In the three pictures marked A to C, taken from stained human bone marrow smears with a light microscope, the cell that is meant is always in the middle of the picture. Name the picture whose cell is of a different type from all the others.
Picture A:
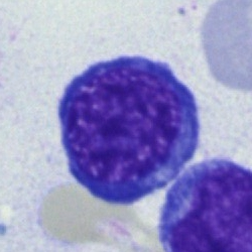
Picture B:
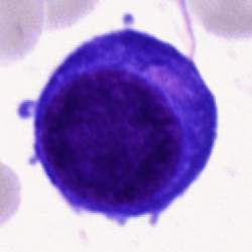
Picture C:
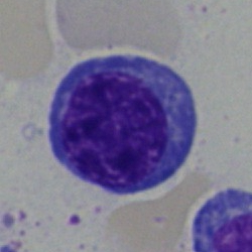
B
